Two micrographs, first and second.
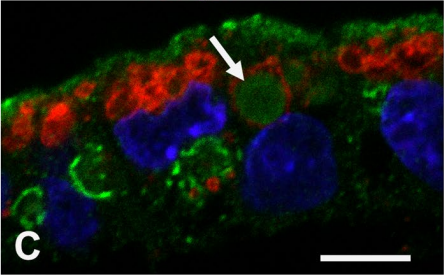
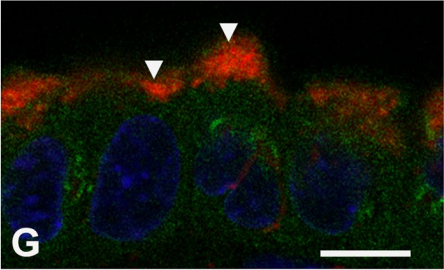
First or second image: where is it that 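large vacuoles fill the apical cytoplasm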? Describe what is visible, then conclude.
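The first image. Second image: red signal forms only small compact clusters in a thin band beneath the surface. First image: red rings outline several large rounded vacuoles above the nuclei.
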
